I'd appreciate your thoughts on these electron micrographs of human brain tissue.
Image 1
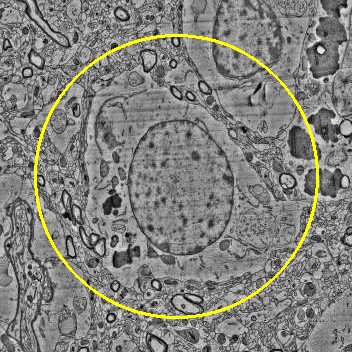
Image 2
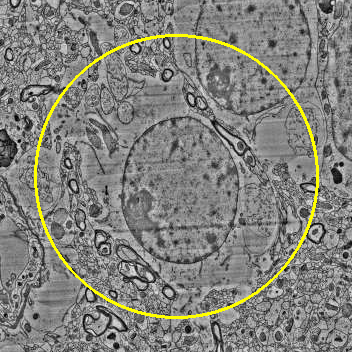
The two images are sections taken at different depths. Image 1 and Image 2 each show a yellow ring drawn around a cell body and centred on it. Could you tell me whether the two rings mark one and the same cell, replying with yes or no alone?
yes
